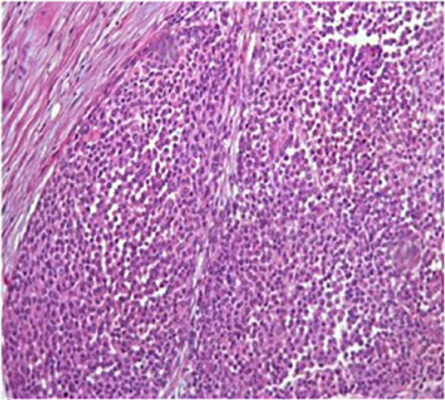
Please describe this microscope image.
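This field shows large nests of neoplastic cells packed tightly in sheets. The cells are large, with pink cytoplasm and mostly rounded, darkly stained nuclei. The nests are separated by bands of fibrous stroma containing elongated spindle-shaped cells, seen especially at the upper left. Small clefts and clear spaces appear between groups of tumour cells within the nests.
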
